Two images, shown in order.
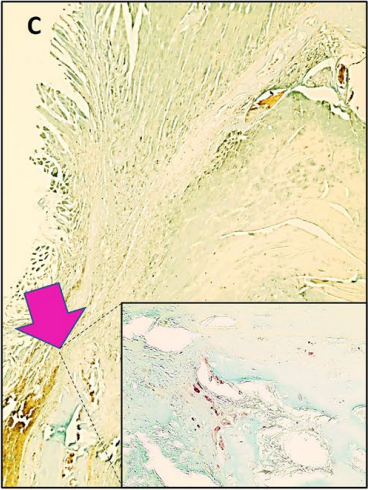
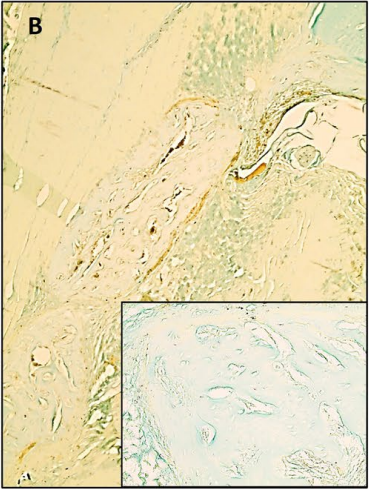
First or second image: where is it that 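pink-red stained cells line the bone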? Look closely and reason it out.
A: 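First image: the inset shows several pink-red stained cells along the bone margin. Second image: the inset shows only pale green-blue tissue with no pink-red cells.
Conclusion: the first image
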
